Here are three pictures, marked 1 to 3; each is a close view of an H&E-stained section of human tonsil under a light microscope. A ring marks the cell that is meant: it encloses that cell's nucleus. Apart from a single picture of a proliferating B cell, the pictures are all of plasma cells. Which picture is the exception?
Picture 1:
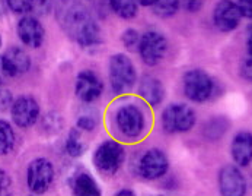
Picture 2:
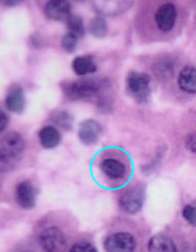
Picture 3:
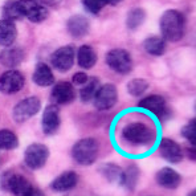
3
